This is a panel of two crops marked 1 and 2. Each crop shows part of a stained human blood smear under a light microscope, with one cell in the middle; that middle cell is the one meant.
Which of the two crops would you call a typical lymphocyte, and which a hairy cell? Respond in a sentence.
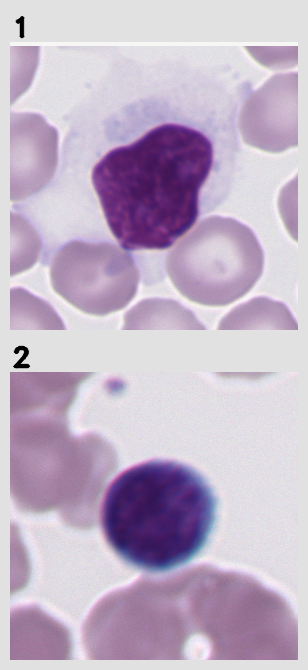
Crop 1 is a hairy cell and crop 2 is a typical lymphocyte.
